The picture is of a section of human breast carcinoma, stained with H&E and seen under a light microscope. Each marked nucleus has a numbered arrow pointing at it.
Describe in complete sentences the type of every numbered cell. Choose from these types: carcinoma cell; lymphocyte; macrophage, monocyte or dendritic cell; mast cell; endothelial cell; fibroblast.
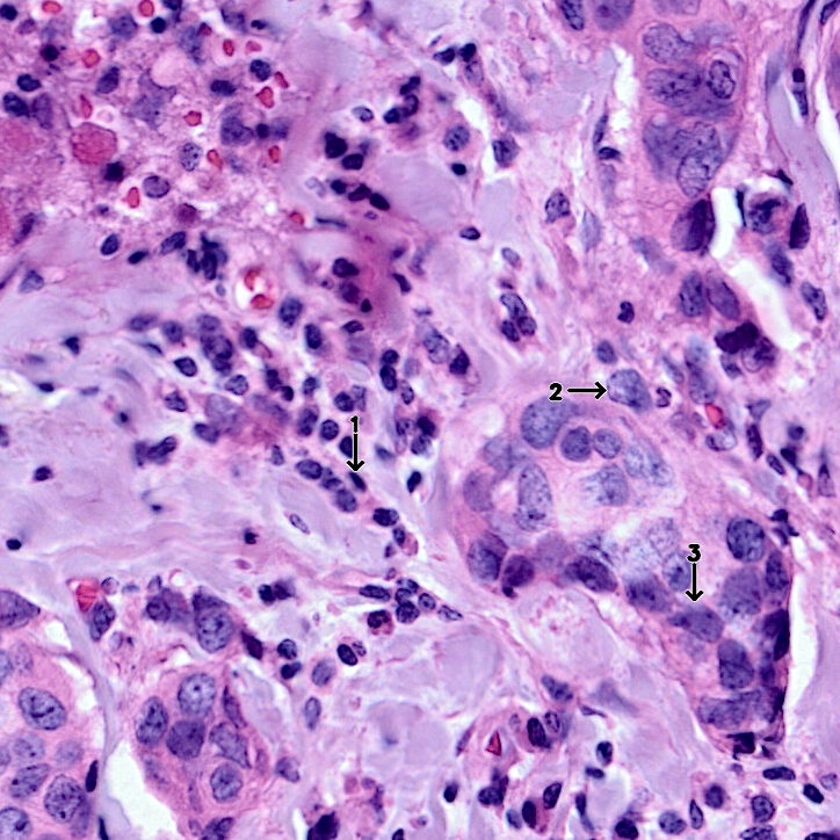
Cell 1 is a lymphocyte. Cells 2 and 3 are carcinoma cells.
